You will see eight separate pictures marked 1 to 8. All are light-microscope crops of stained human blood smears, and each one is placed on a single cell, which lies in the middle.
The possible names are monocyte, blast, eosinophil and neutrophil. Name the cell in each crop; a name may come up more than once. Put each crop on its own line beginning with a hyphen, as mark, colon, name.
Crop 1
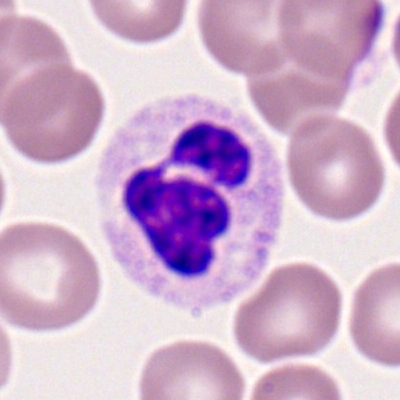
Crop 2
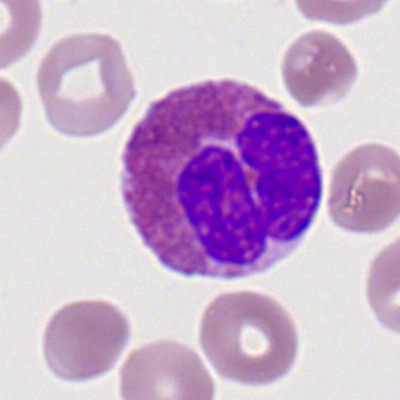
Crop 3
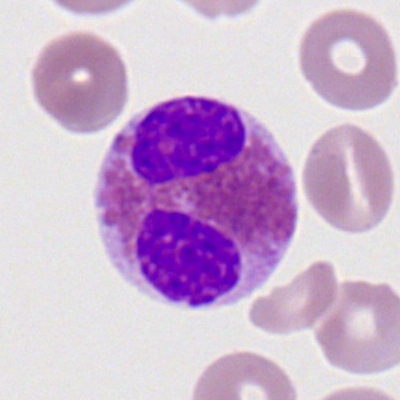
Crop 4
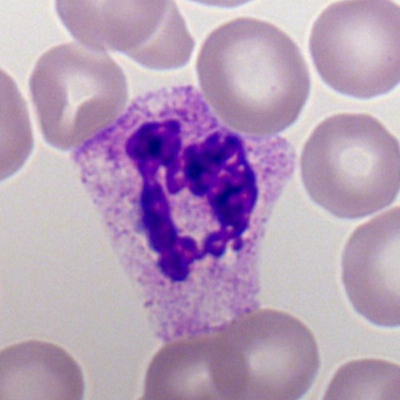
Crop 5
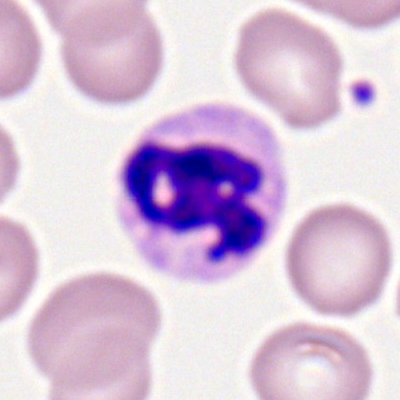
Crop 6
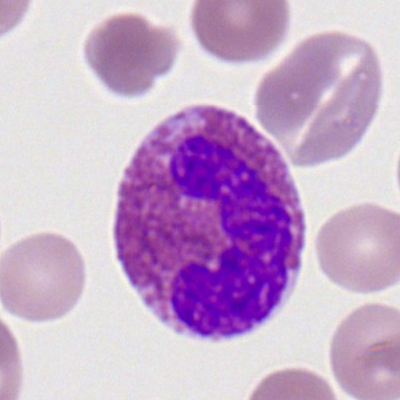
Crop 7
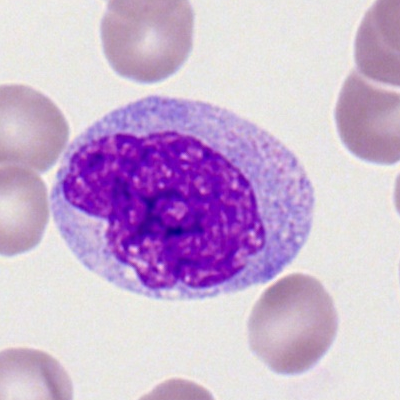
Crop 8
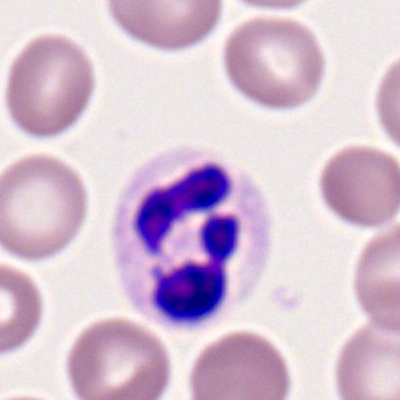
- 1: neutrophil
- 2: eosinophil
- 3: eosinophil
- 4: neutrophil
- 5: neutrophil
- 6: eosinophil
- 7: monocyte
- 8: neutrophil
